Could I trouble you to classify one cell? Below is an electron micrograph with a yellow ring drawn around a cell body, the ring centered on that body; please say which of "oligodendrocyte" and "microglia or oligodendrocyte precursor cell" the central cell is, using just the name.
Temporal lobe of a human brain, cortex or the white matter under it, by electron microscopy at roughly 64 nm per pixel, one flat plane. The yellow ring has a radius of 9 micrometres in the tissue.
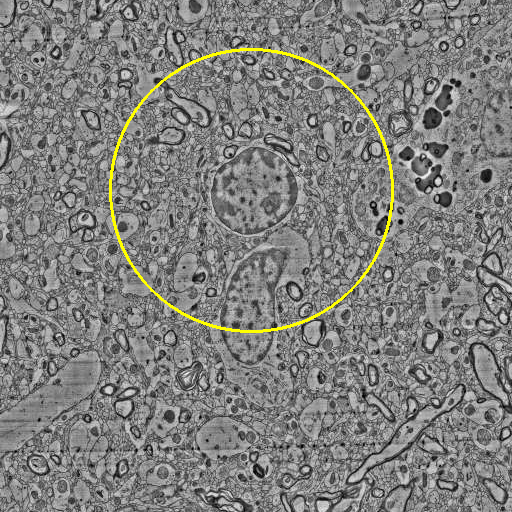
microglia or oligodendrocyte precursor cell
